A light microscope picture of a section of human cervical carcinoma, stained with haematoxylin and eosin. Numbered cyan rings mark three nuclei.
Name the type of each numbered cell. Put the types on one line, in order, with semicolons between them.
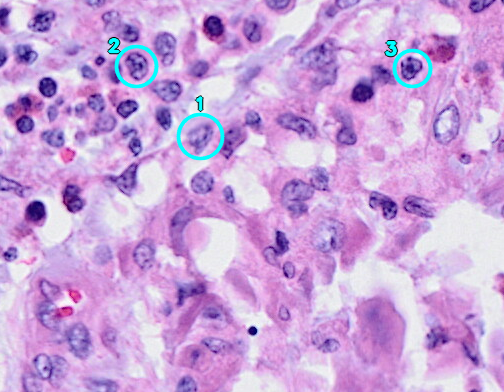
macrophage or monocyte; lymphocyte; lymphocyte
